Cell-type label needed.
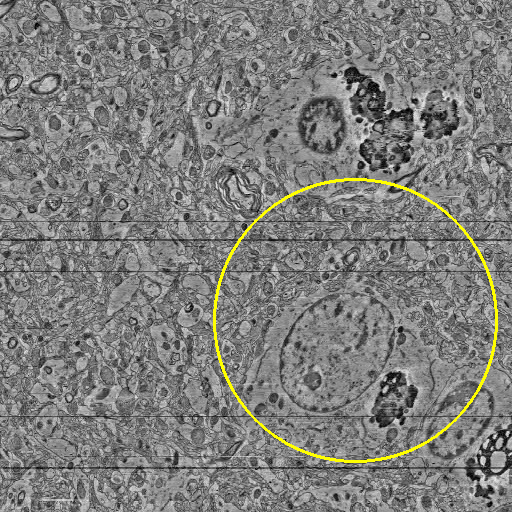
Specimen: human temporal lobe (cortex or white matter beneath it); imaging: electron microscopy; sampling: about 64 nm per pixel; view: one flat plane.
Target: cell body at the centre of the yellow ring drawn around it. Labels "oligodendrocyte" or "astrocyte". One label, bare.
astrocyte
